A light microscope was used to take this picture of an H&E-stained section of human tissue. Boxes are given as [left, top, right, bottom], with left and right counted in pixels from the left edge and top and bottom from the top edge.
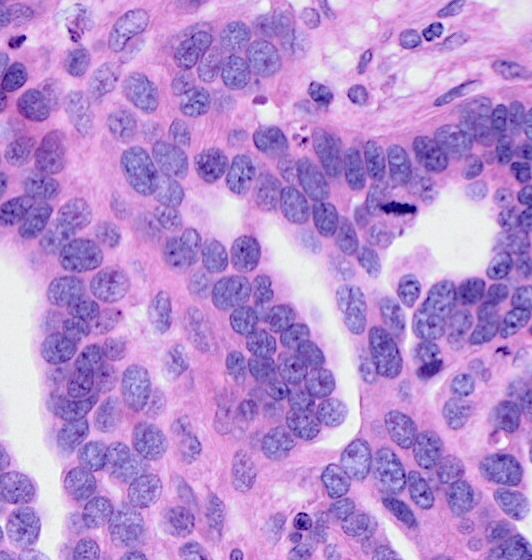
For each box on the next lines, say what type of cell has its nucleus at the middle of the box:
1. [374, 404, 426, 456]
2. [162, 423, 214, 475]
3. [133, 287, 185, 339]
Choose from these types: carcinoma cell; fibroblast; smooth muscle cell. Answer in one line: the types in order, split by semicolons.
carcinoma cell; fibroblast; fibroblast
